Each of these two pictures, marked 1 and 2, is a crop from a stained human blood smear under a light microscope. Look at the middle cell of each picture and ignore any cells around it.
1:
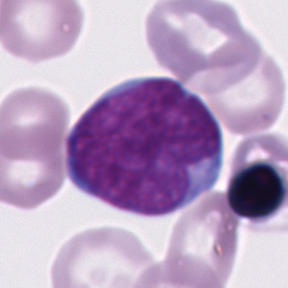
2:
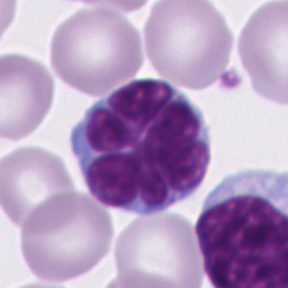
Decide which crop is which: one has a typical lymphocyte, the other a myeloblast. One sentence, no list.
Crop 1 represents a myeloblast, while crop 2 represents a typical lymphocyte.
